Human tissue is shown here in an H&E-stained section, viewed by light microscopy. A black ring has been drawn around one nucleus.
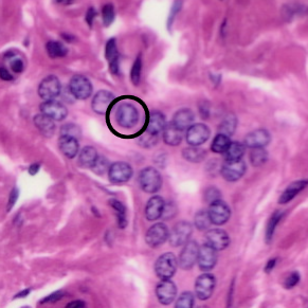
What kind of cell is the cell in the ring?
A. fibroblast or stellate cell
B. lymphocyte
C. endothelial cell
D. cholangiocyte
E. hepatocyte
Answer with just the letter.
D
